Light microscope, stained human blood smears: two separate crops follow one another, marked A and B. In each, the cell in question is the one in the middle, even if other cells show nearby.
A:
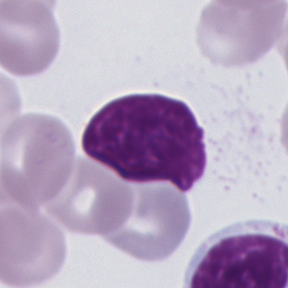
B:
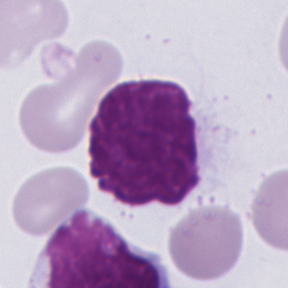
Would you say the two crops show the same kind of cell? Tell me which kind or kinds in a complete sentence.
Yes, both crops show a cell each, and these are smudge cells.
